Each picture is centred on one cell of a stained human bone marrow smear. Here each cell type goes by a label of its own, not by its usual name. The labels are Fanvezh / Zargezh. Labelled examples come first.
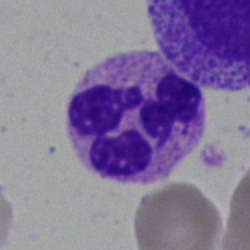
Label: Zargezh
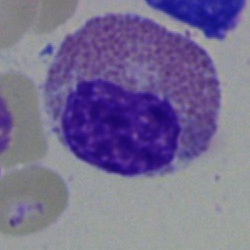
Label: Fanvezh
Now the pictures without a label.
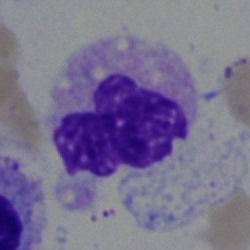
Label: Zargezh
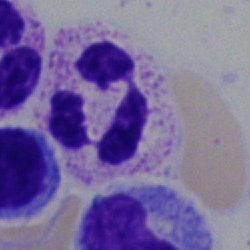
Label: Zargezh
